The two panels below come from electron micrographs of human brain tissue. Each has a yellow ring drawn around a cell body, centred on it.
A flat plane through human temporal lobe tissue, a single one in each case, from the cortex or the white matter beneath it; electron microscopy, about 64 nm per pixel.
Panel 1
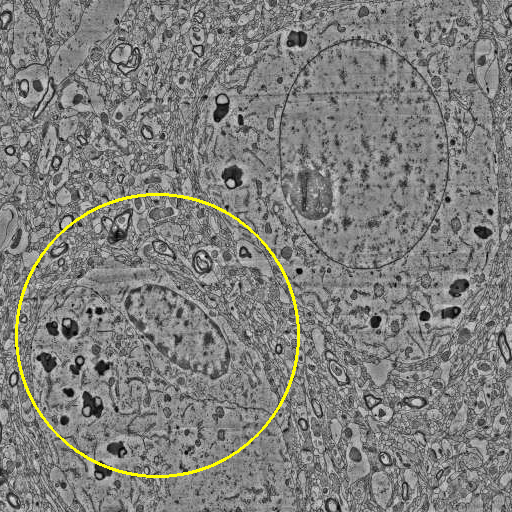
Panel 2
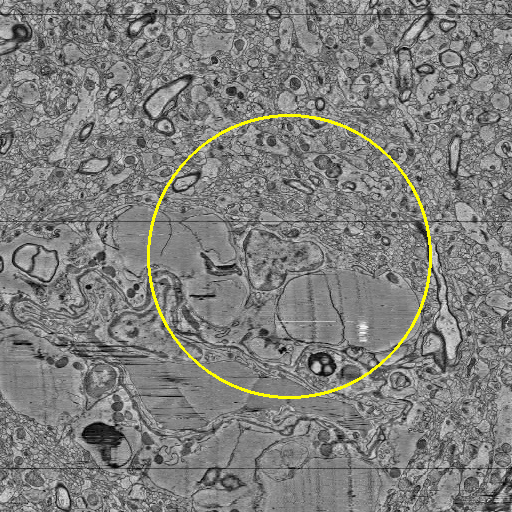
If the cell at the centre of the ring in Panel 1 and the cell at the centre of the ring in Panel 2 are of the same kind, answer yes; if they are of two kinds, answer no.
yes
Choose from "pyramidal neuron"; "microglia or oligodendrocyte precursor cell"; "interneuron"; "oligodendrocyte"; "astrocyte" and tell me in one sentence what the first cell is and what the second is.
In the first picture and in the second, the ring is centred on a microglial cell or oligodendrocyte precursor cell.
